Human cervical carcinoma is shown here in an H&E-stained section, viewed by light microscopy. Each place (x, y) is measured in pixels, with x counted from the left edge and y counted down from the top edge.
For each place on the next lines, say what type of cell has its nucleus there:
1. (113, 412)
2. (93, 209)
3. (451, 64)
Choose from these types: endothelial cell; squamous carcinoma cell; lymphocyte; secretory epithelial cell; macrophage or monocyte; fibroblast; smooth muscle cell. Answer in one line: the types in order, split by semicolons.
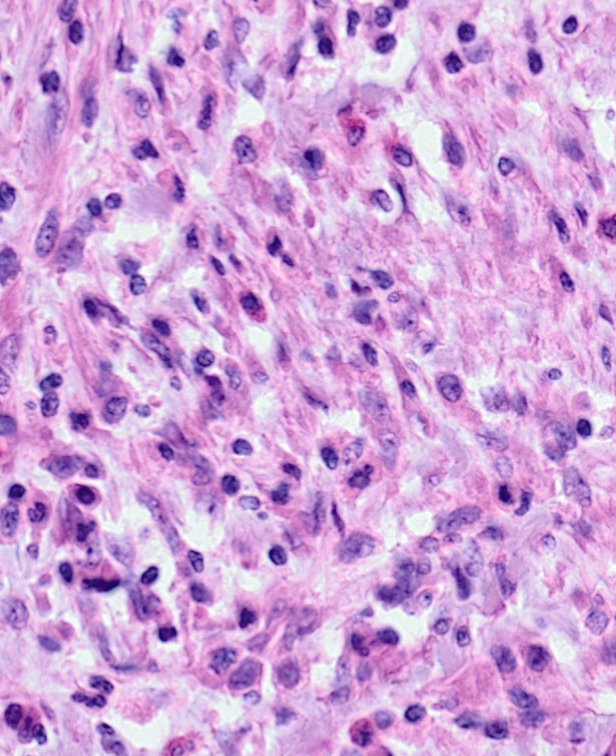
macrophage or monocyte; lymphocyte; lymphocyte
